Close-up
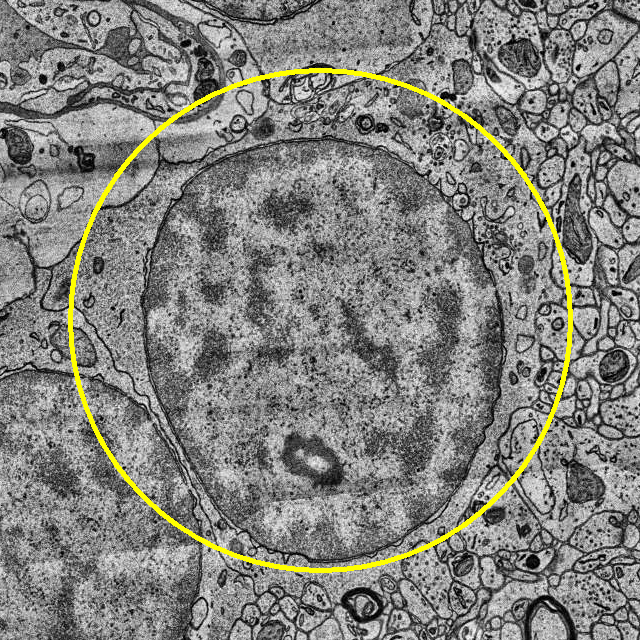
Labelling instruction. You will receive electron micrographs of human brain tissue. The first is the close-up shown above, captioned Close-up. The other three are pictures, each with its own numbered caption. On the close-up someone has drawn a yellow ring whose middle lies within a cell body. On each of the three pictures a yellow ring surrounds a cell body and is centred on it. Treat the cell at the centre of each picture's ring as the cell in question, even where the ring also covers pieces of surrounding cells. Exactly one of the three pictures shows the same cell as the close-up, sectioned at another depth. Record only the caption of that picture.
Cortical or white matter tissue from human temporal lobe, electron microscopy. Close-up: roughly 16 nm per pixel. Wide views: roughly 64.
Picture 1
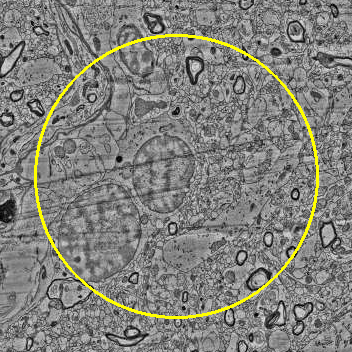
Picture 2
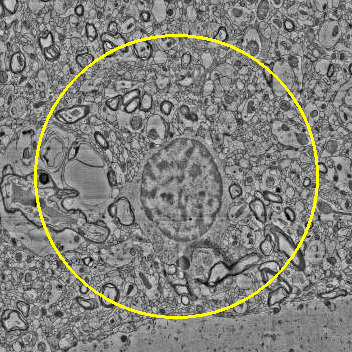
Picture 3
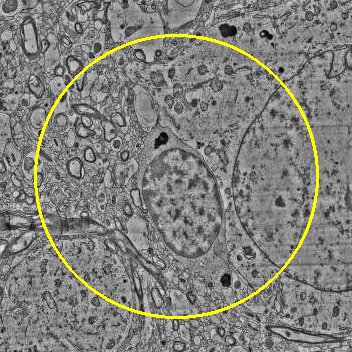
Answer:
Picture 1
